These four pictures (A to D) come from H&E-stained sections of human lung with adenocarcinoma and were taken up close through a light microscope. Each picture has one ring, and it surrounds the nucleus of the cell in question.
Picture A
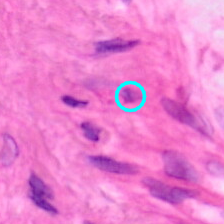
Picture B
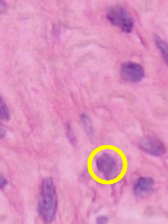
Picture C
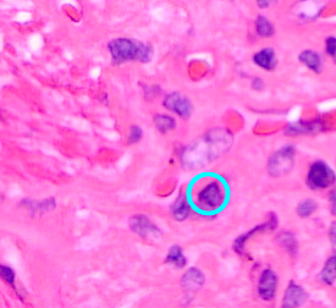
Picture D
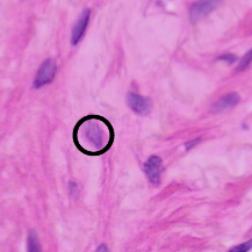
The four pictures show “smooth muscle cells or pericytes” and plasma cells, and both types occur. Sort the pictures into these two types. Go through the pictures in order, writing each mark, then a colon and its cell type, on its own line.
A: smooth muscle cell or pericyte
B: smooth muscle cell or pericyte
C: plasma cell
D: smooth muscle cell or pericyte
